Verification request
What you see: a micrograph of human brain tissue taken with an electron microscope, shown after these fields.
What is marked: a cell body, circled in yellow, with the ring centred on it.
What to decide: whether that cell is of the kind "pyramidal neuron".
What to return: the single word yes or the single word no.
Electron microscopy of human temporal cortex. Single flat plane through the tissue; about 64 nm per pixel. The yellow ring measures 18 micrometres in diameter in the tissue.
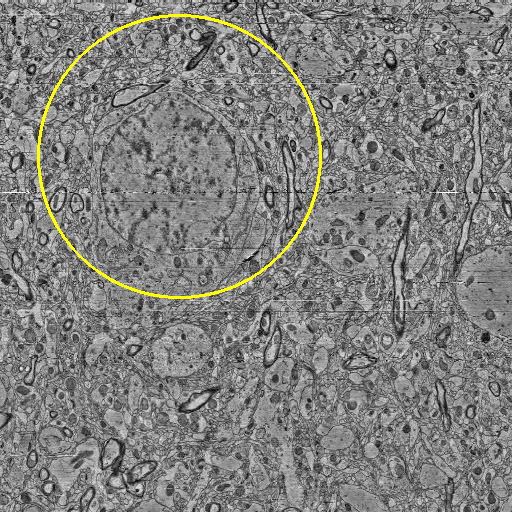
no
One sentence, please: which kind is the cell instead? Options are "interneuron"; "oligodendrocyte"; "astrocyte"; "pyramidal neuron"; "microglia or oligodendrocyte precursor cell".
Instead, the cell inside the ring is an interneuron.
